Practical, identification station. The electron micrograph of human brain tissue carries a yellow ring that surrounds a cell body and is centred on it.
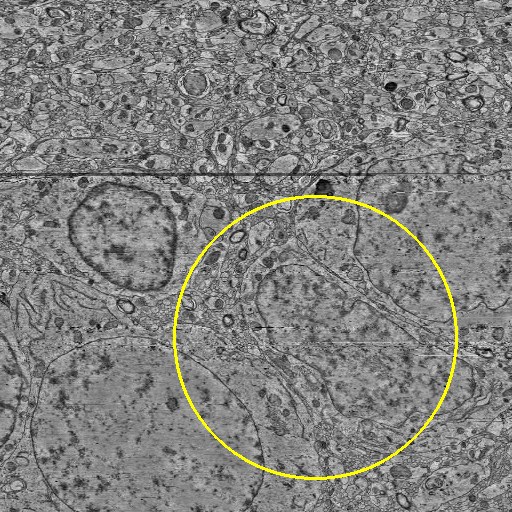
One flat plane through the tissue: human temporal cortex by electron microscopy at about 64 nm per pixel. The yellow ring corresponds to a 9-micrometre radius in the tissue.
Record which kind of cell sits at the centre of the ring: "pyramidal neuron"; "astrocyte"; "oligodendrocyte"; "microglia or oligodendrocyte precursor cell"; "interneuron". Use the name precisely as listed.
interneuron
